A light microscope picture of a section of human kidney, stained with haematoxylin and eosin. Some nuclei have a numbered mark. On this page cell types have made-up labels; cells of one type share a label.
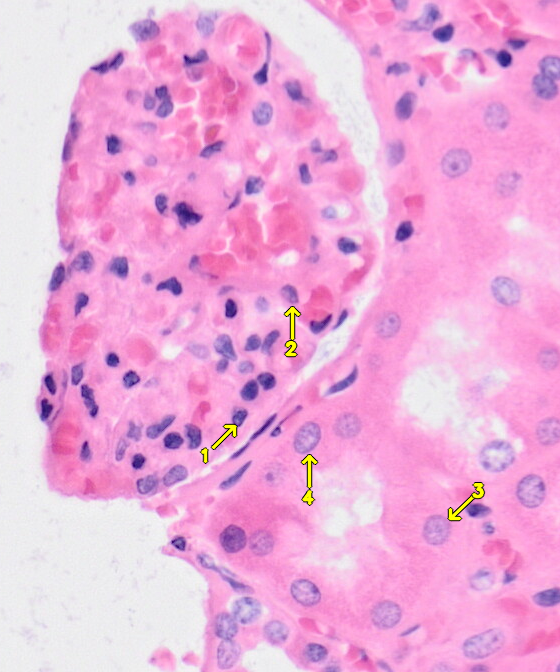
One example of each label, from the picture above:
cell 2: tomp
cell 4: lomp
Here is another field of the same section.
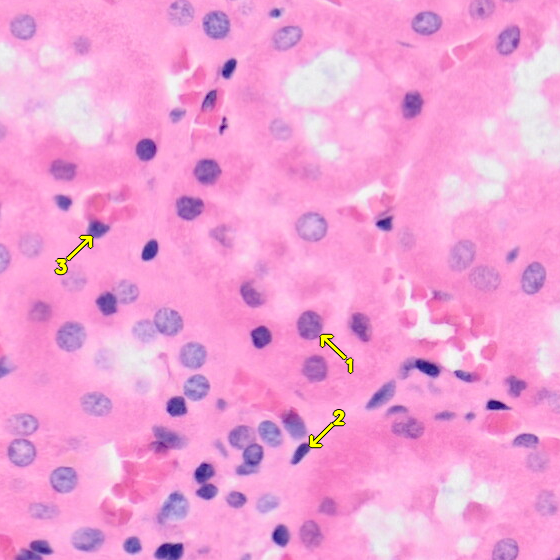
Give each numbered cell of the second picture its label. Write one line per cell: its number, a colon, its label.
1: lomp
2: tomp
3: tomp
